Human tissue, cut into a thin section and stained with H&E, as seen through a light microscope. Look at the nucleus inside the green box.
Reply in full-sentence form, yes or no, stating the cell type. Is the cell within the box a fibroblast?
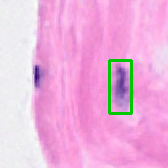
Yes, a fibroblast is the identity of the cell within the box in this section.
